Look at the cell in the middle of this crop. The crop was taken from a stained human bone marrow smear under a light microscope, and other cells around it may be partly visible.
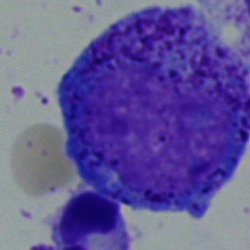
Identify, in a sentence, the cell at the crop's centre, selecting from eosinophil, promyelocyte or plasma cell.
The middle position in this crop is taken by a promyelocyte.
